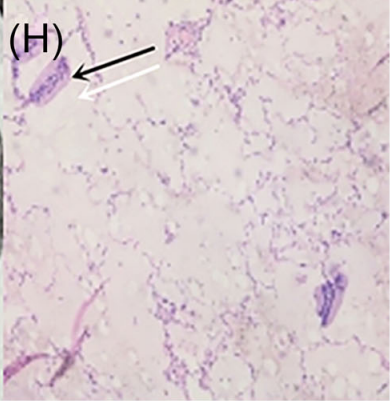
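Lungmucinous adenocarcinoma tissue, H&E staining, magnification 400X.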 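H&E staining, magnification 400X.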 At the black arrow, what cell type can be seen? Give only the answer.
the tumour cell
